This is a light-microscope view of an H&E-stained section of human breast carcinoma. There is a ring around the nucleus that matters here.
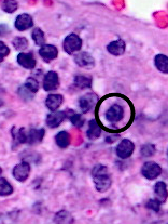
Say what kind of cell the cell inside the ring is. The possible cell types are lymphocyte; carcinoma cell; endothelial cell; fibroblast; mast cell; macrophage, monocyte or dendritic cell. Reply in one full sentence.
The classification of the cell inside the ring is as a lymphocyte.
